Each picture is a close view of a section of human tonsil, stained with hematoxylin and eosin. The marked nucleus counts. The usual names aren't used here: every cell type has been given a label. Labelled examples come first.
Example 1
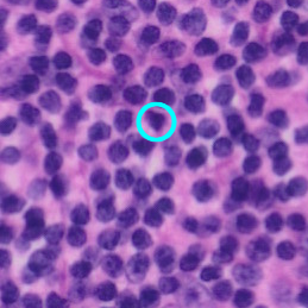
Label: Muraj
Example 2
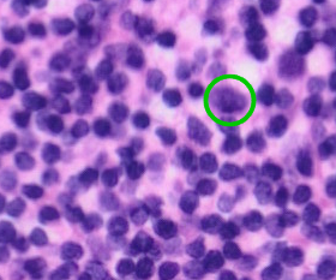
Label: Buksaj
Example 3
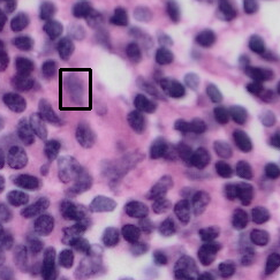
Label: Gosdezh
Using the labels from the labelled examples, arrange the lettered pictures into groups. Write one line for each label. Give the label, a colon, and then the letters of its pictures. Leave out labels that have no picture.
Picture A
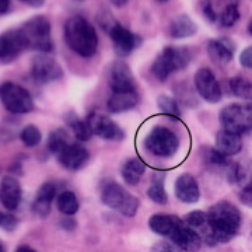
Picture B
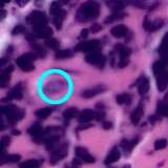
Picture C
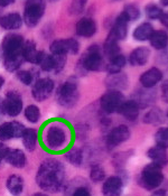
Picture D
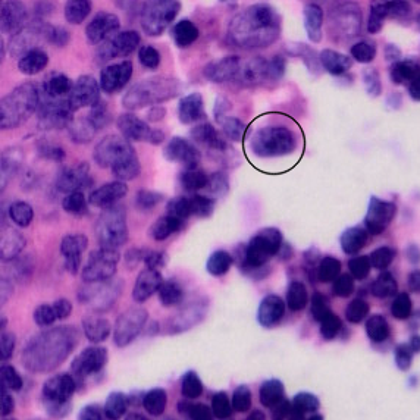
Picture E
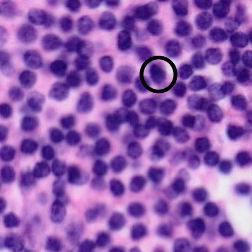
Muraj: E
Buksaj: A, D
Gosdezh: B, C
